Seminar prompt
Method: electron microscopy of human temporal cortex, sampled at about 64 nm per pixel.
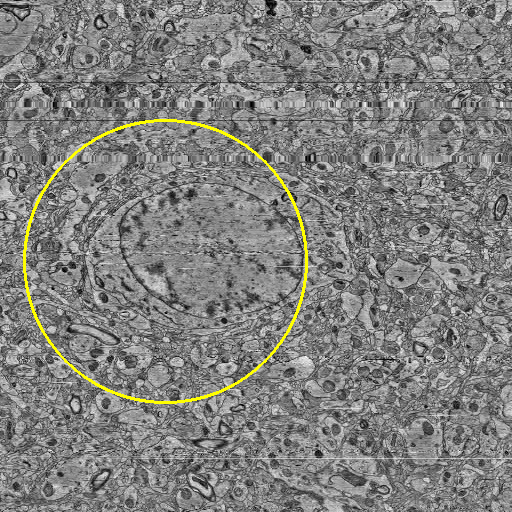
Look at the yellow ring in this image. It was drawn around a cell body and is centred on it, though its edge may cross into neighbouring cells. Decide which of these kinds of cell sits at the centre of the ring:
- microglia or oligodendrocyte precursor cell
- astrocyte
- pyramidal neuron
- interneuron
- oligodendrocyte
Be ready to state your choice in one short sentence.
The kind of cell at the ring's centre is a pyramidal neuron.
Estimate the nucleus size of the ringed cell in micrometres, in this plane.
The nucleus has a long axis of about 12 micrometres and a short axis of about 9 micrometres in this plane.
